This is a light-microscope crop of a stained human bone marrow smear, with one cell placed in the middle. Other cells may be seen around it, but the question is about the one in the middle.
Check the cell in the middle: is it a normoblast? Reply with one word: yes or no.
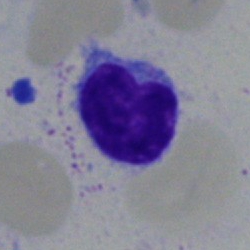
no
